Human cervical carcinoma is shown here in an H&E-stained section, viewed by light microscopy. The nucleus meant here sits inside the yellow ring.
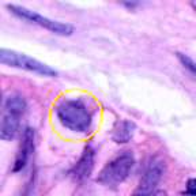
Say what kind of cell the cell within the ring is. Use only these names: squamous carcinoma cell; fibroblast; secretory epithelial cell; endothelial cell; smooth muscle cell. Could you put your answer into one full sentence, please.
In terms of identity, the cell within the ring is a secretory epithelial cell.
